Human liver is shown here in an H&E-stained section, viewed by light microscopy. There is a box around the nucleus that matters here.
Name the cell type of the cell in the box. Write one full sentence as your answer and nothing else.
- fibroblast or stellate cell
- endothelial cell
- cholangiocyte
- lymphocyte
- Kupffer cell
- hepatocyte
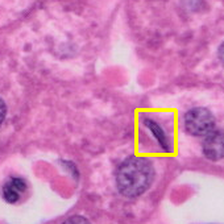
Assigned to a cell type, the cell in the box is a fibroblast or stellate cell.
